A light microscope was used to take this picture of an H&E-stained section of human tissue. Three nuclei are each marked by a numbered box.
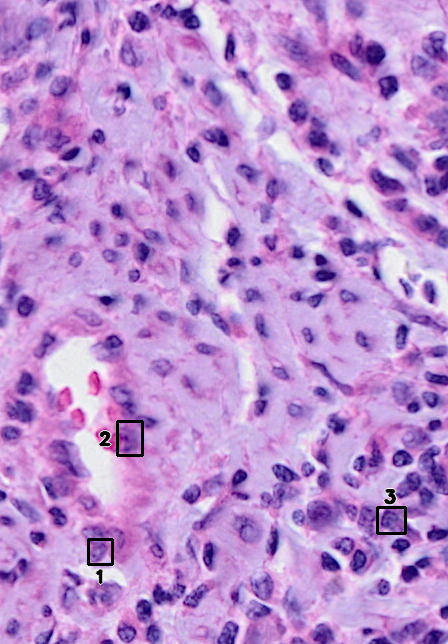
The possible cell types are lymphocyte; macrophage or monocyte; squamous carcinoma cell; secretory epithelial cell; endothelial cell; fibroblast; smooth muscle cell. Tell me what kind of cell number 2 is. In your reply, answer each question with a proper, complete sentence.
The cell marked with number 2 is an endothelial cell.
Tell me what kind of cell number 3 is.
Regarding cell 3, this one is a lymphocyte.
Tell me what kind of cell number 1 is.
Belonging to an endothelial cell is the nucleus that carries the number 1.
